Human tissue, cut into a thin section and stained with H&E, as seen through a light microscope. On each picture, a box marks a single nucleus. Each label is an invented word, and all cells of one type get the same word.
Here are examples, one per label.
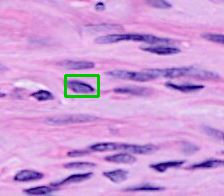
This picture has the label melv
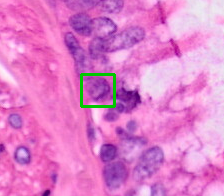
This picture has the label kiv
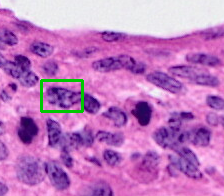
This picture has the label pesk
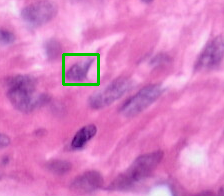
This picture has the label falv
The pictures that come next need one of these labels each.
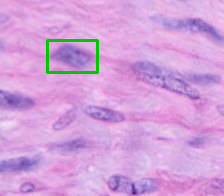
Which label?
melv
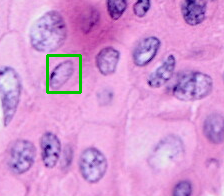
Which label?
pesk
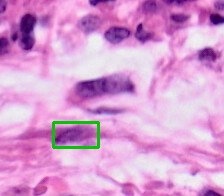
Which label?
falv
